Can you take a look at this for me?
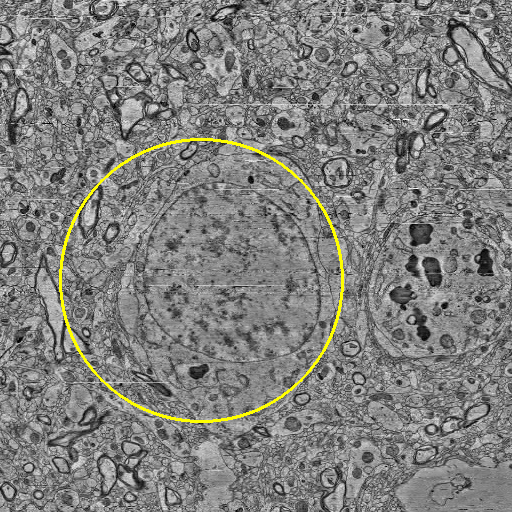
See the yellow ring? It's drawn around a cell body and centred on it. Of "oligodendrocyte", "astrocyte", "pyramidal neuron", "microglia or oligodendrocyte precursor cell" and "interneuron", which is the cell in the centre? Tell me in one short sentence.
The one in the centre is an interneuron.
